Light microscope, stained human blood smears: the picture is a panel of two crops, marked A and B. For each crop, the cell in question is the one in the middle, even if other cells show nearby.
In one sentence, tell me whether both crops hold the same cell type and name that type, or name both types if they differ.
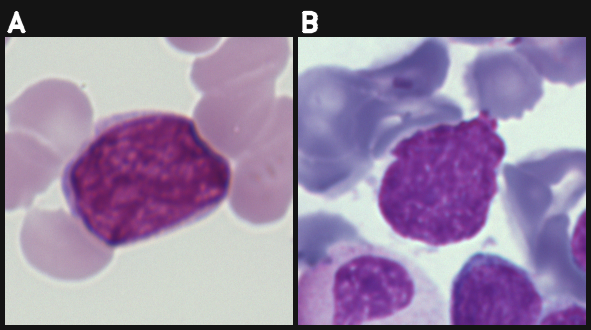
Yes, the cells in the centres of the two crops are myeloblasts.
